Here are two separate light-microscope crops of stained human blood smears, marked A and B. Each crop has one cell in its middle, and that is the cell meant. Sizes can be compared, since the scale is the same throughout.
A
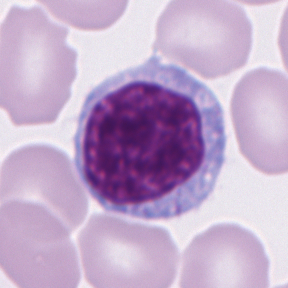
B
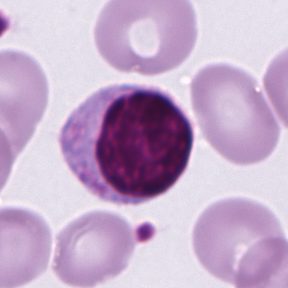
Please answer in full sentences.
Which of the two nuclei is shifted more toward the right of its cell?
It is the nucleus in crop B that lies further toward the right of its cell.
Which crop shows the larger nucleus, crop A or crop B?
Crop A shows the larger nucleus; it covers about 1.5 times the area of the nucleus in crop B.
